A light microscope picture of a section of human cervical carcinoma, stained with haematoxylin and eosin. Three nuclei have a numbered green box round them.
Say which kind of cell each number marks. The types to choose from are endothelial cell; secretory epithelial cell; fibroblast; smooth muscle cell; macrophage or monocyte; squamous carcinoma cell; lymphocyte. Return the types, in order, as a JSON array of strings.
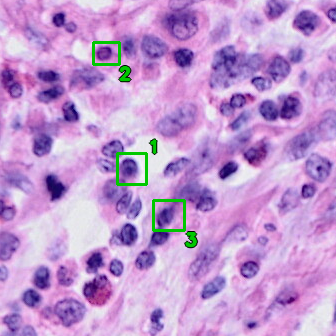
["lymphocyte", "macrophage or monocyte", "lymphocyte"]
